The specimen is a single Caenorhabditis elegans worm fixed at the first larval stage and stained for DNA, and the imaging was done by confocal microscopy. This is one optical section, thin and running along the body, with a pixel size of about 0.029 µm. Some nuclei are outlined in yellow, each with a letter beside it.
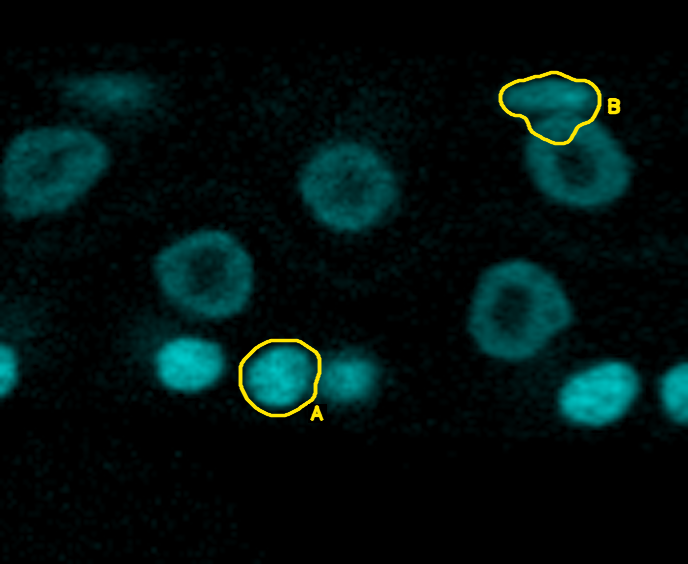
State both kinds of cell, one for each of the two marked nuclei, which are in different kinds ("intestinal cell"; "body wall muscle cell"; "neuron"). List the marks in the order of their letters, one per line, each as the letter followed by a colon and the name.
A: neuron
B: body wall muscle cell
